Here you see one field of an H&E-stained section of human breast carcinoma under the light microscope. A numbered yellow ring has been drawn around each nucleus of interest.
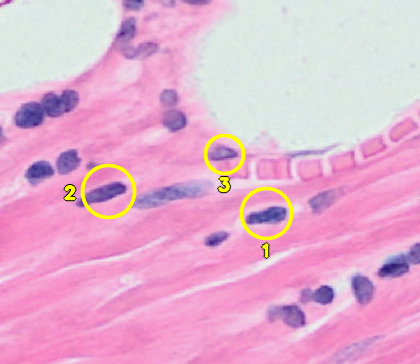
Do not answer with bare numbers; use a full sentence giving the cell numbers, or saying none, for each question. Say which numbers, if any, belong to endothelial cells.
Of all the cells bearing numbers, cell 3 is the only one that is an endothelial cell.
